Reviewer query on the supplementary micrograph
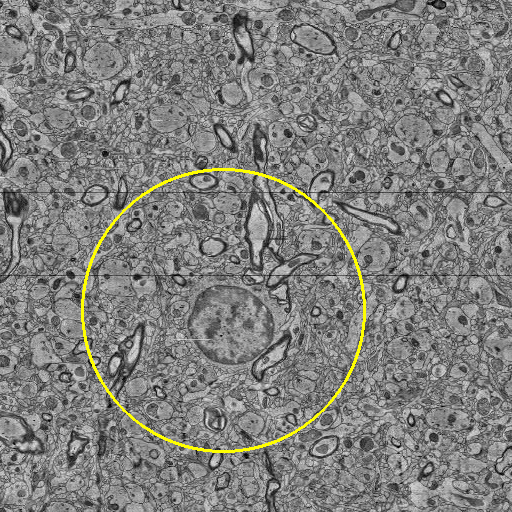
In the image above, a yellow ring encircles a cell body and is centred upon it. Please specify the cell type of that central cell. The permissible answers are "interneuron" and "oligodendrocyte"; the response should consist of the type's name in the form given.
oligodendrocyte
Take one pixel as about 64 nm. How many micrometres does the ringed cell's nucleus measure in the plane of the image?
In this plane the nucleus measures roughly 6 by 5 micrometres.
